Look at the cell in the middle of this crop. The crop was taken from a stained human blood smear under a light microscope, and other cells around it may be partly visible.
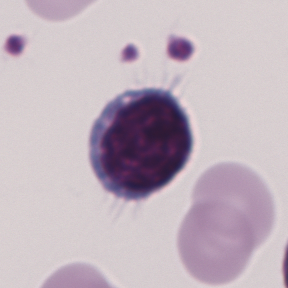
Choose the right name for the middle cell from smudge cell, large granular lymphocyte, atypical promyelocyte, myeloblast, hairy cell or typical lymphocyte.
large granular lymphocyte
